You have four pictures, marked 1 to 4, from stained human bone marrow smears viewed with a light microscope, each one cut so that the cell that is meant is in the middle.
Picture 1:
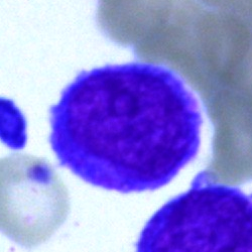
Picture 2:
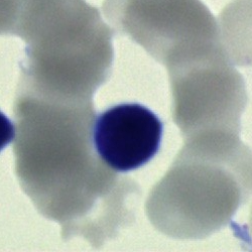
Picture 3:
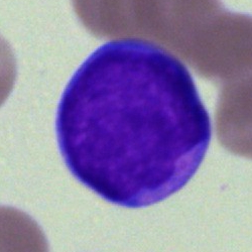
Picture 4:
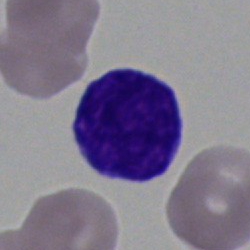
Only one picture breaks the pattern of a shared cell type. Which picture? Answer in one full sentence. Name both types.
Unlike the rest, which show blasts, picture 2 shows a lymphocyte.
